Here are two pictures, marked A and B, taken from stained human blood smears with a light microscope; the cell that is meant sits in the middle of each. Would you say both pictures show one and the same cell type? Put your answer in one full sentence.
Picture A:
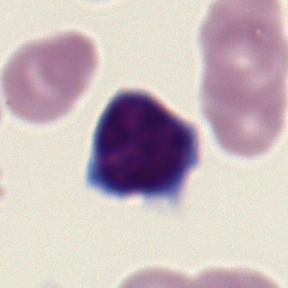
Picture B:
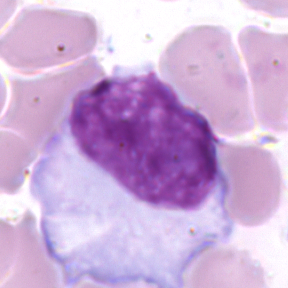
No, the types are not the same, since picture A shows a typical lymphocyte and picture B a plasma cell.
